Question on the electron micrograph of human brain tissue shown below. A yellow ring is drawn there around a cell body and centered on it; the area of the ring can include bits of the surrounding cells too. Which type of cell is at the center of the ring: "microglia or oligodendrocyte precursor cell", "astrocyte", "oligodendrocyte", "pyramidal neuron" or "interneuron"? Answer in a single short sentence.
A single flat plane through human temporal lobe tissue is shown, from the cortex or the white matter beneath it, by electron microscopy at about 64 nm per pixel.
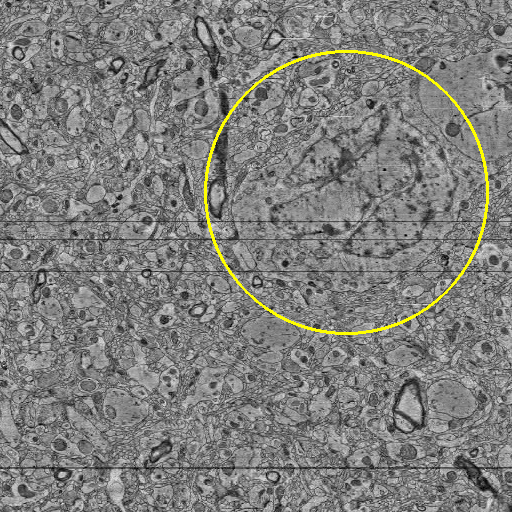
The ring is centered on an interneuron.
